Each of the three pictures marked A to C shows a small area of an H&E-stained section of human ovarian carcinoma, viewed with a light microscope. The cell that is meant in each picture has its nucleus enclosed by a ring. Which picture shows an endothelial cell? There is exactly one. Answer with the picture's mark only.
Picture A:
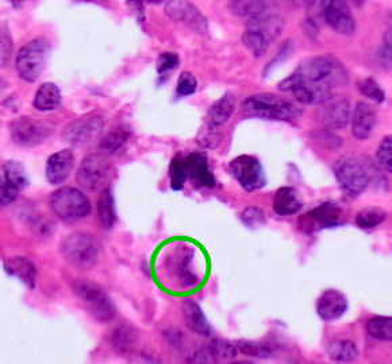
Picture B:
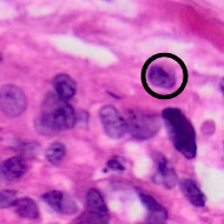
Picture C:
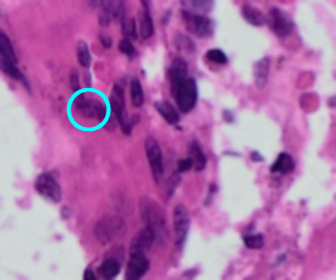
C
